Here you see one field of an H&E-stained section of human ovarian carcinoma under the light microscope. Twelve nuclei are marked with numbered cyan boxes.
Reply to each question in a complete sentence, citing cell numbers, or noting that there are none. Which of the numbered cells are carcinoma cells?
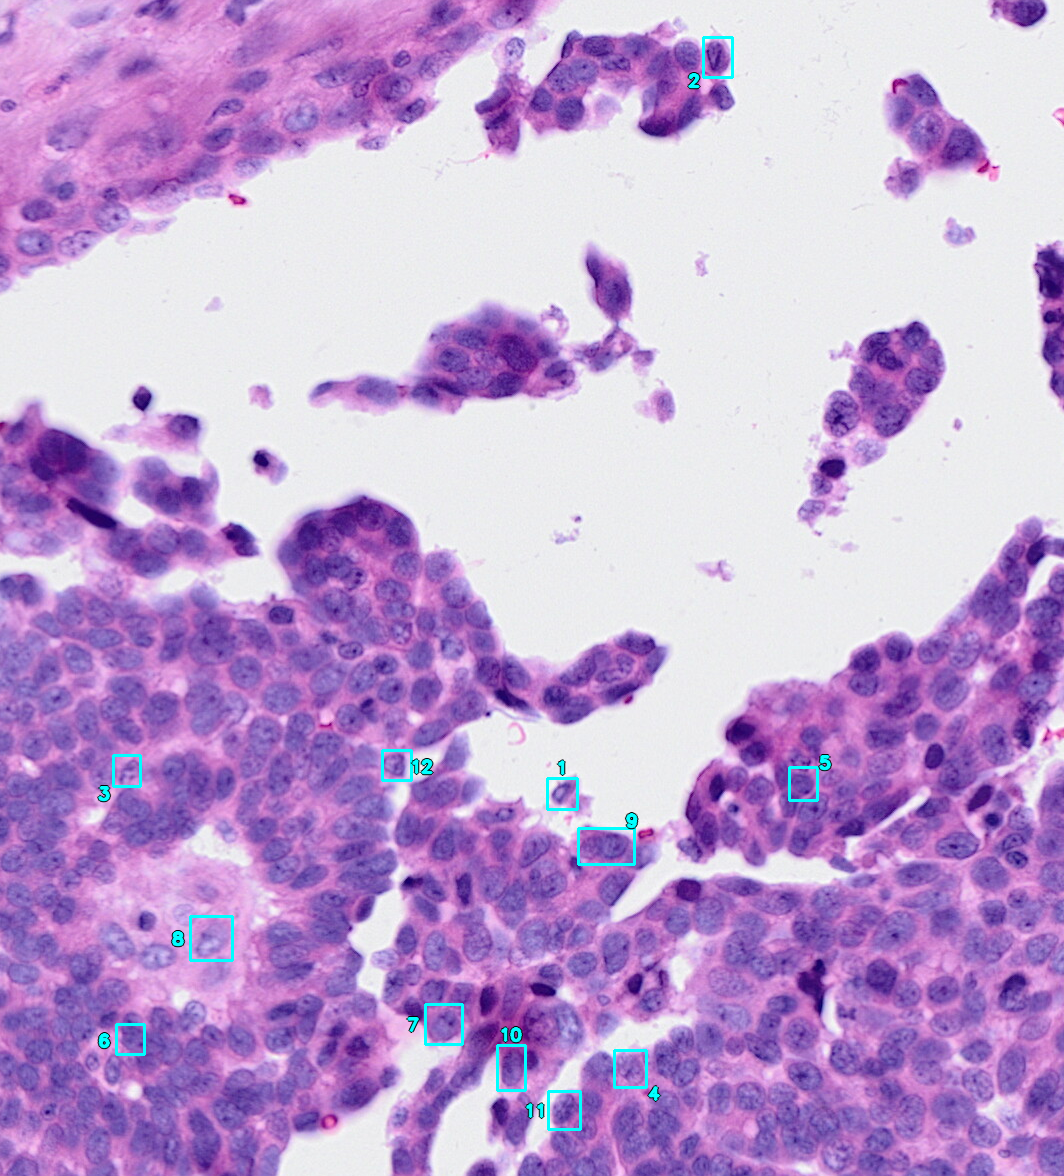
The cells numbered 4, 5, 6, 7, 9, 10 and 11 are typed as carcinoma cells.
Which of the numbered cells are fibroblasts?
Cell 8 stands alone among the numbered cells as a fibroblast.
